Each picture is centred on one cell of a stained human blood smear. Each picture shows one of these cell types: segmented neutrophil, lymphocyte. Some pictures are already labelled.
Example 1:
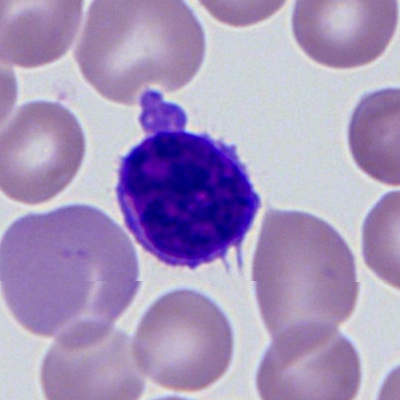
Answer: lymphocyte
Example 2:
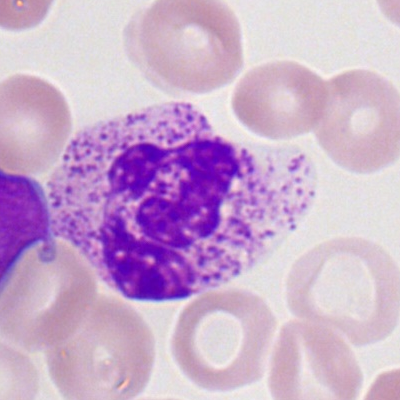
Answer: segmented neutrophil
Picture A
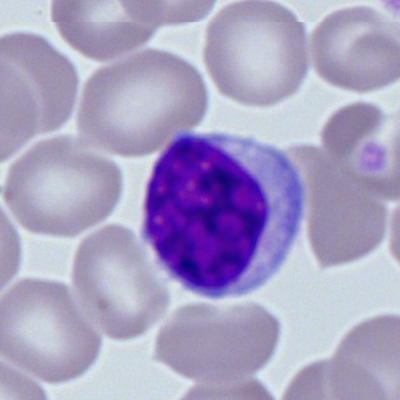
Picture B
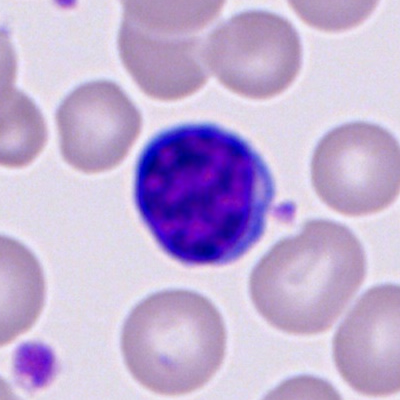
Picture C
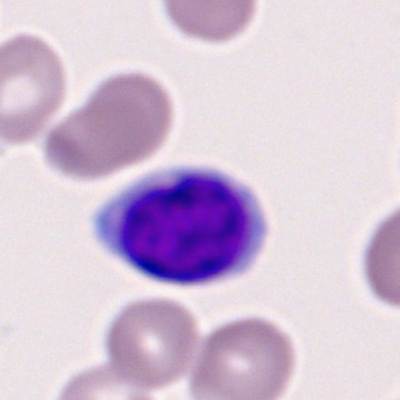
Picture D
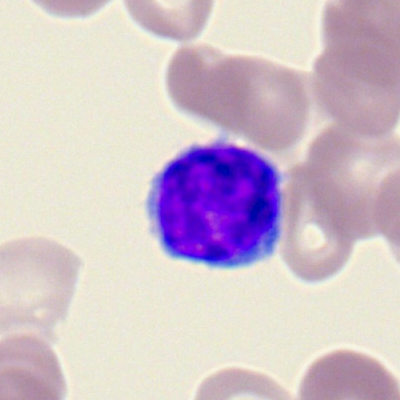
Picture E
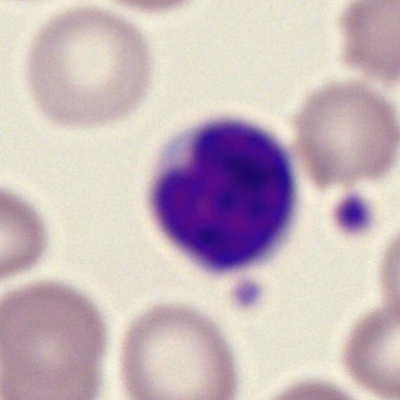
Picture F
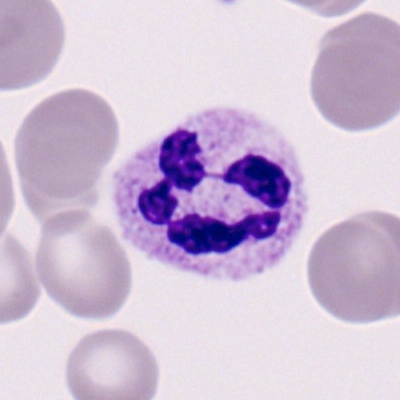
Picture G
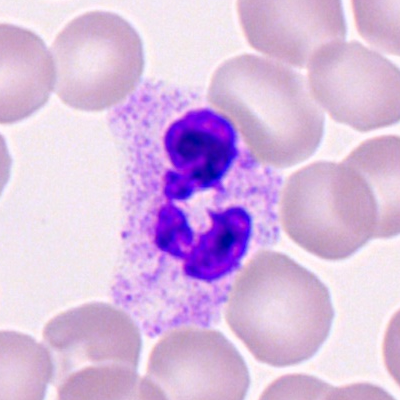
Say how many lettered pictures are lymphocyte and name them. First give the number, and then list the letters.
5: A, B, C, D, E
